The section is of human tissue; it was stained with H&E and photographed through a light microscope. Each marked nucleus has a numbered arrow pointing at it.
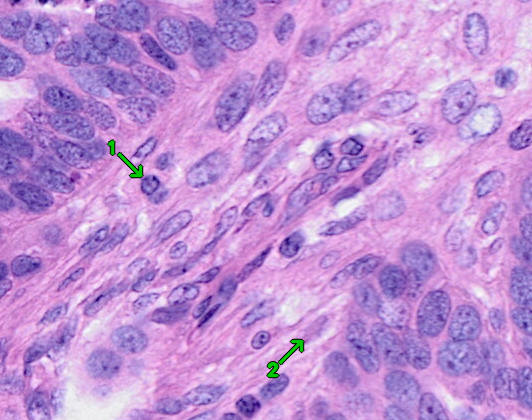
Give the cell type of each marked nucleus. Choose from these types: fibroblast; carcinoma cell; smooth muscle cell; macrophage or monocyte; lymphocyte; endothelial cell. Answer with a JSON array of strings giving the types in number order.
["macrophage or monocyte", "fibroblast"]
